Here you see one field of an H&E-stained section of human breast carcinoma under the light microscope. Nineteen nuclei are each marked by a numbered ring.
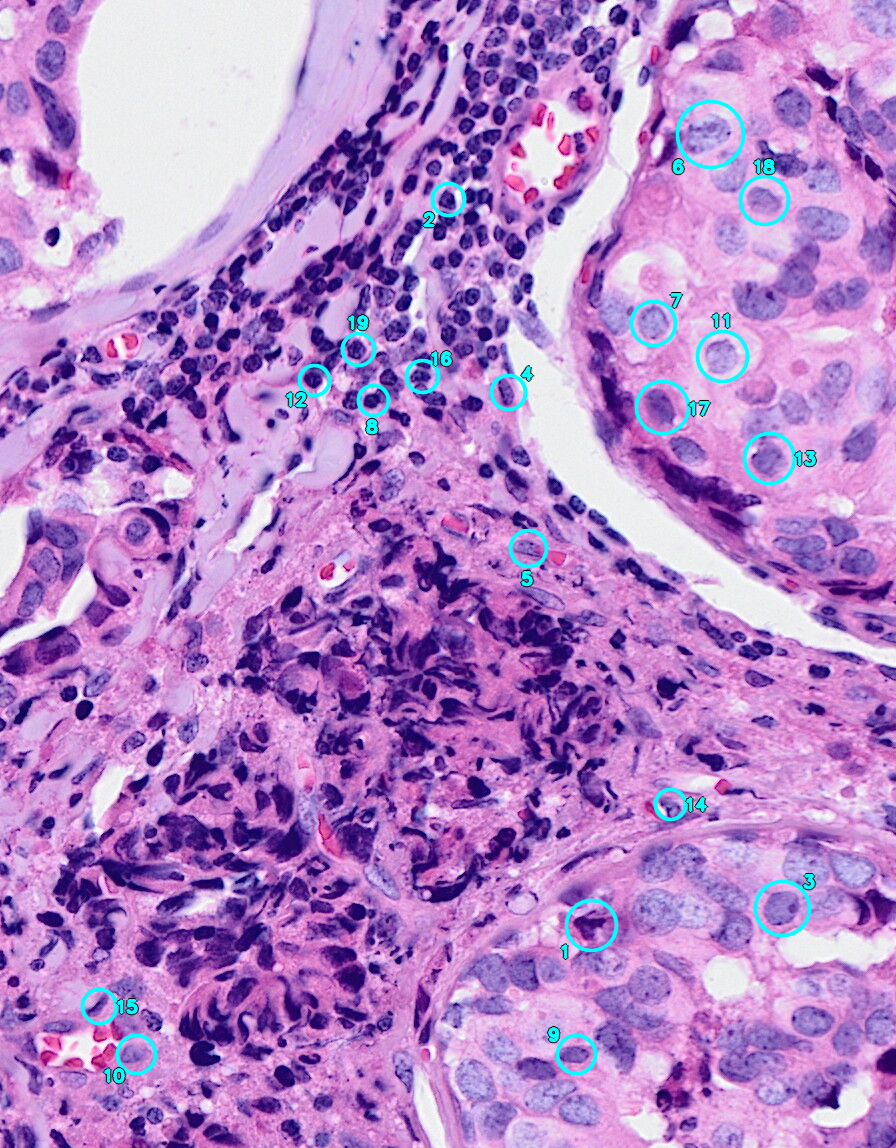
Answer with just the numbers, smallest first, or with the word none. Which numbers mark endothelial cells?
5, 10, 14, 15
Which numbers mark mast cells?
4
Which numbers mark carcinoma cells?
1, 3, 6, 7, 9, 11, 13, 17, 18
